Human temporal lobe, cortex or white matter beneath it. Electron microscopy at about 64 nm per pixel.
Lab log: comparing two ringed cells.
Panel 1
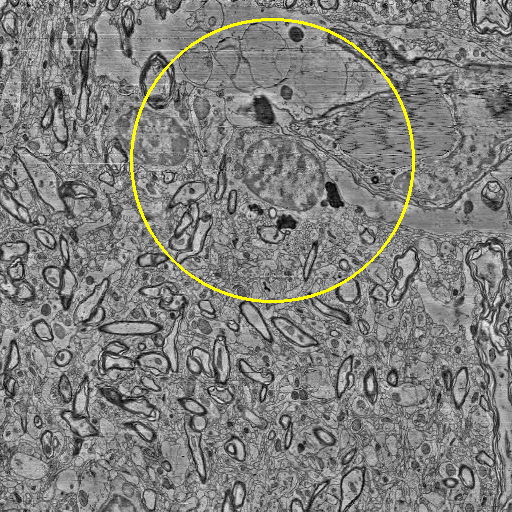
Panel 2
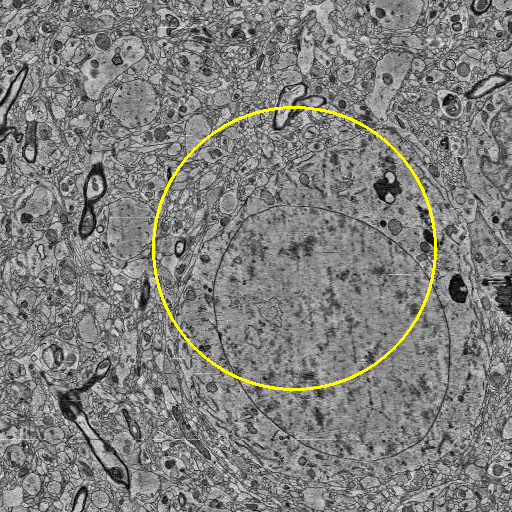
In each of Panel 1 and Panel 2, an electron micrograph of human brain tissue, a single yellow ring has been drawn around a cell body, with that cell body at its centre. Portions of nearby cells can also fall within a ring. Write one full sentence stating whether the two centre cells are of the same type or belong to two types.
The cells at the ring centres in Panel 1 and Panel 2 belong to two types.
